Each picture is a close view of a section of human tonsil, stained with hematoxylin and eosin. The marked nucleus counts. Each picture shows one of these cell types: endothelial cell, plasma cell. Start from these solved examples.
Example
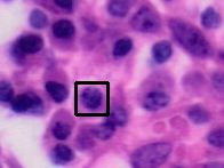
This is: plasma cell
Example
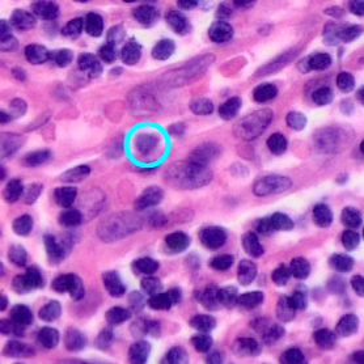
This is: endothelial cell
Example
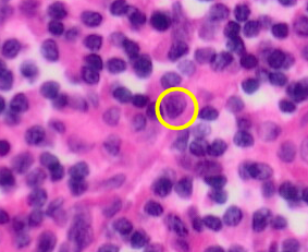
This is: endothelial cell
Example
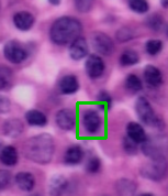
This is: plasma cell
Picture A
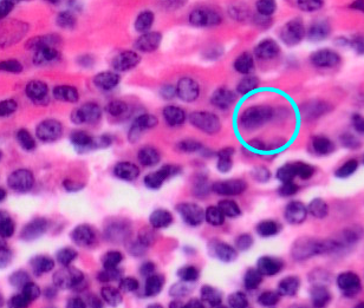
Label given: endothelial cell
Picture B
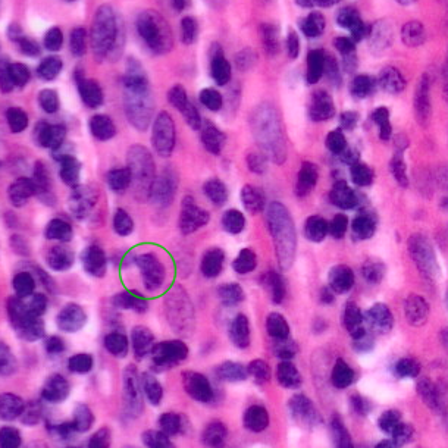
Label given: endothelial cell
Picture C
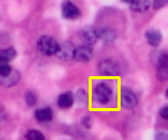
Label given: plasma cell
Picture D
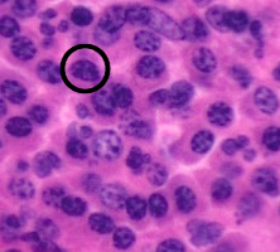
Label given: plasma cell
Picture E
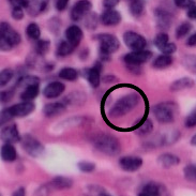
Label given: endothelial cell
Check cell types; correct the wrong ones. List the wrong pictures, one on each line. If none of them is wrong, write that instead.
Nothing to fix; every label fits.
